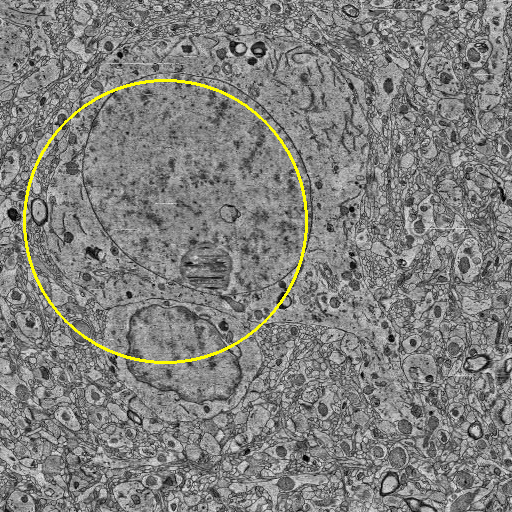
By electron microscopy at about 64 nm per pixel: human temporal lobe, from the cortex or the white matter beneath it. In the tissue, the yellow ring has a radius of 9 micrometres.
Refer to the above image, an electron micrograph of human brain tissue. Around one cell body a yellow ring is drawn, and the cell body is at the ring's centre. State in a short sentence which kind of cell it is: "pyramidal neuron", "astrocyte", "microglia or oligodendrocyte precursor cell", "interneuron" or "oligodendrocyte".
The centre of the ring falls on a pyramidal neuron.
